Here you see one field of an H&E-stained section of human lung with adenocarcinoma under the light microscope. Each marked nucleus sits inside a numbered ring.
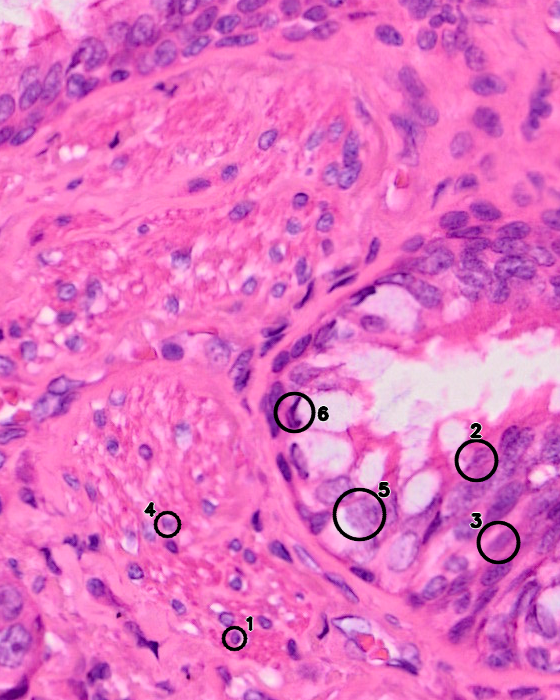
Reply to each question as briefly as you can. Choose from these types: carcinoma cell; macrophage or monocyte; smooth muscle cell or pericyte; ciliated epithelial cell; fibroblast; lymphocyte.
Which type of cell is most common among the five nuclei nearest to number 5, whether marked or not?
ciliated epithelial cell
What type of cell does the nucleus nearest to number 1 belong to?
smooth muscle cell or pericyte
